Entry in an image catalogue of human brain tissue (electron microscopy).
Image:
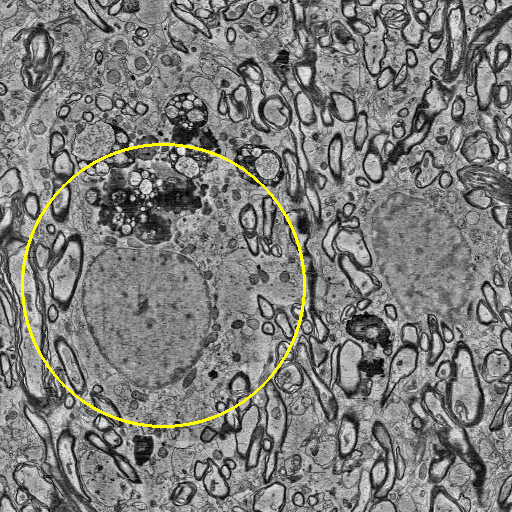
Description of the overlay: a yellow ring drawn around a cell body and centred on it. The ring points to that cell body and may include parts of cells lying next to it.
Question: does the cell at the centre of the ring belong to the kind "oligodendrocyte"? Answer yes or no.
no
